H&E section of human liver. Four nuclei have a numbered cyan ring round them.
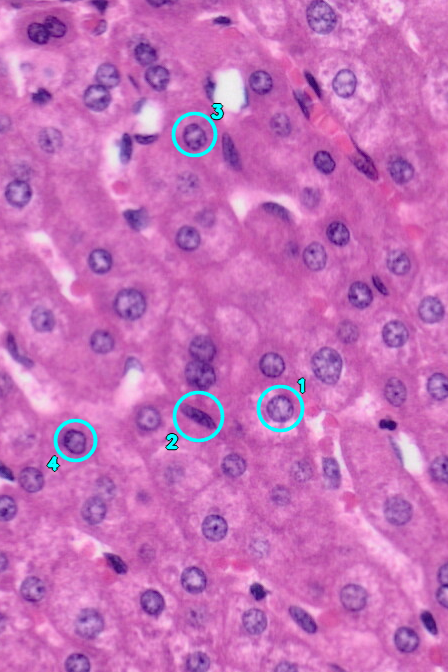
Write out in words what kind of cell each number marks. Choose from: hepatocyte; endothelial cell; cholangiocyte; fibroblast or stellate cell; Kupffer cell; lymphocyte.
Cell 1 is a hepatocyte, cell 2 is a fibroblast or stellate cell, cell 3 is a hepatocyte and cell 4 is a hepatocyte.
